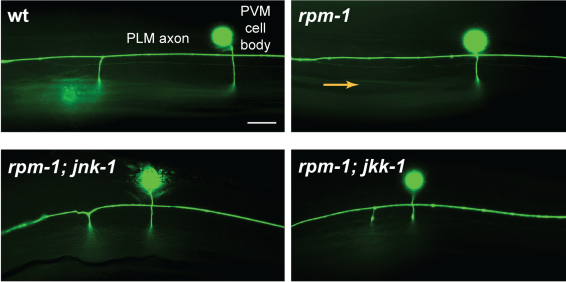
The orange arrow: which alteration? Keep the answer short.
Synaptic branch is absent.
